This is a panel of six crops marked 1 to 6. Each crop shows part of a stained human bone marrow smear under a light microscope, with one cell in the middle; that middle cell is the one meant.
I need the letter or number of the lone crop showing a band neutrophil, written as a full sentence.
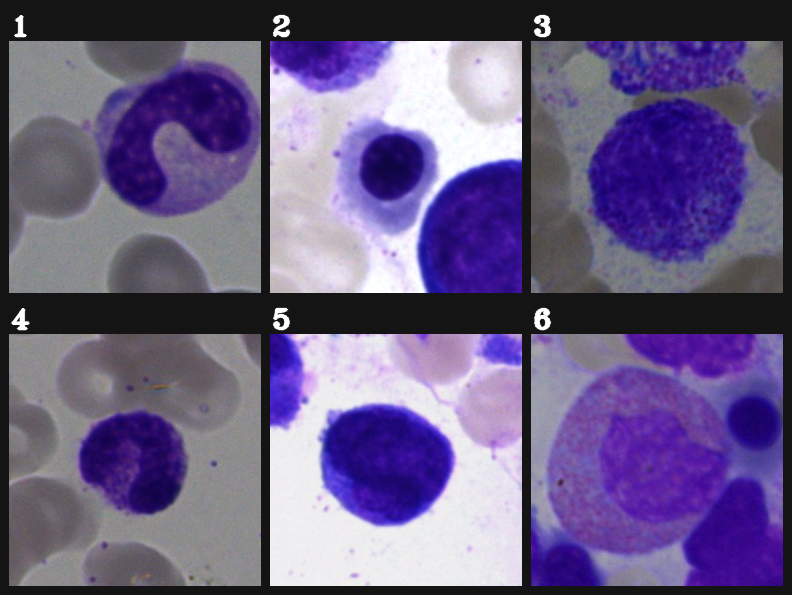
Of the labeled crops, the one with a band neutrophil is crop 1.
